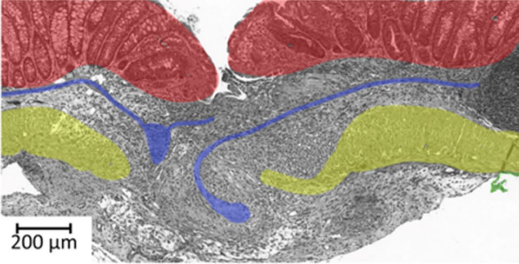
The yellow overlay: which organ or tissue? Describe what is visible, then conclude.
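The yellow bands form a thick layer beneath the submucosa. The yellow bands end on either side of the central disrupted tissue. That points to this answer: muscularis.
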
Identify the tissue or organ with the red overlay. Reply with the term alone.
Mucosa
